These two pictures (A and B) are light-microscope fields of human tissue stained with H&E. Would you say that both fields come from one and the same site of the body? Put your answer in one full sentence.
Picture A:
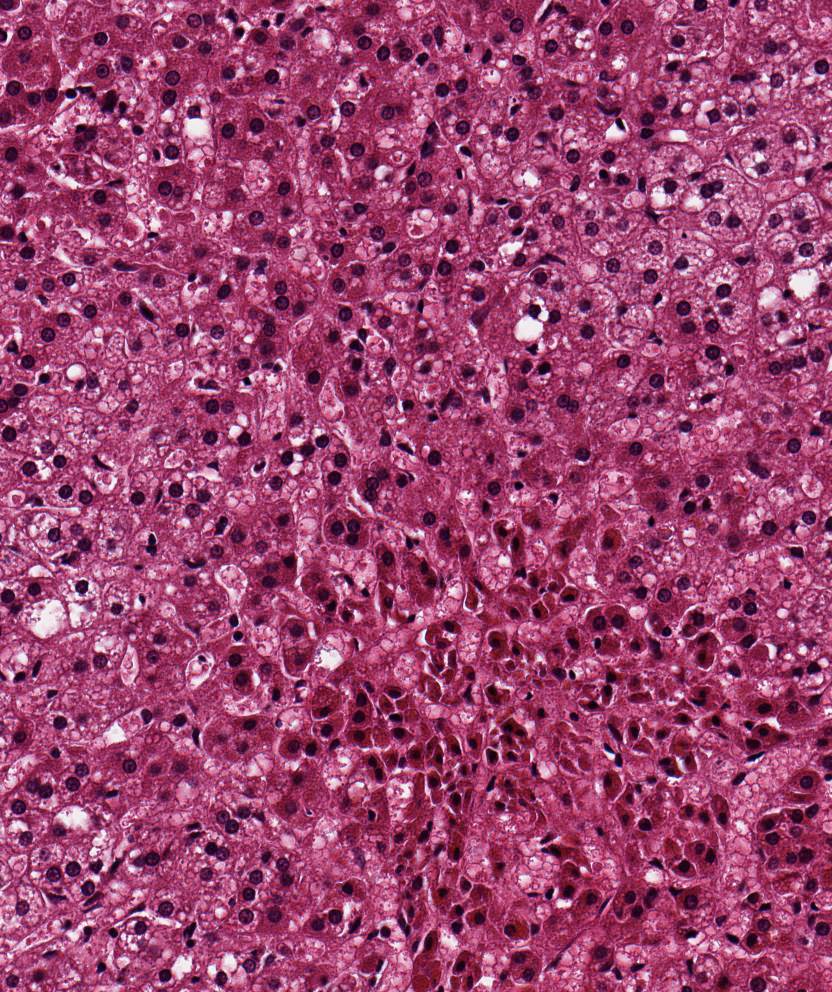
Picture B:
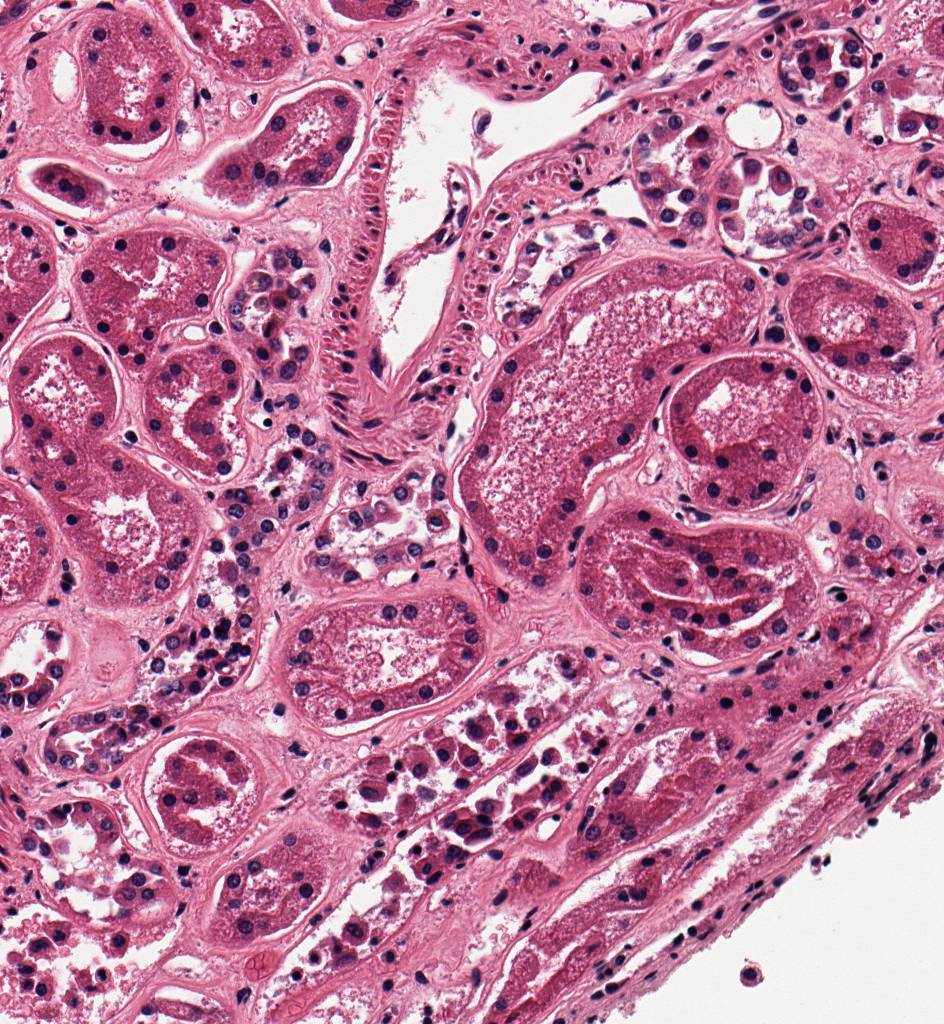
No: picture A comes from the adrenal gland, but picture B comes from the renal cortex.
